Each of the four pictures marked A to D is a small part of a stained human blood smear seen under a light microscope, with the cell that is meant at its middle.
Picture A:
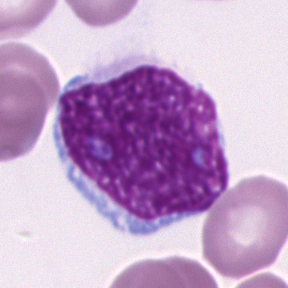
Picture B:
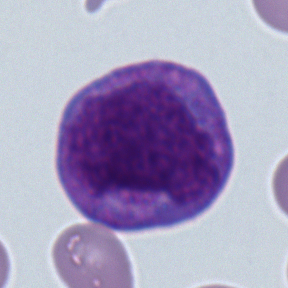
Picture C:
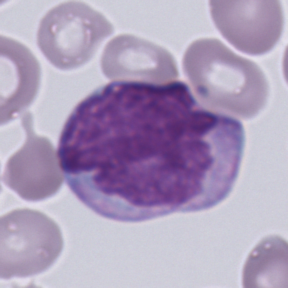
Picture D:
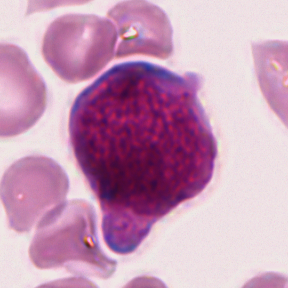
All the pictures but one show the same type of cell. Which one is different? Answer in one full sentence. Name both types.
Picture A is the odd one out: it shows a myeloblast, while the others show atypical promyelocytes.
